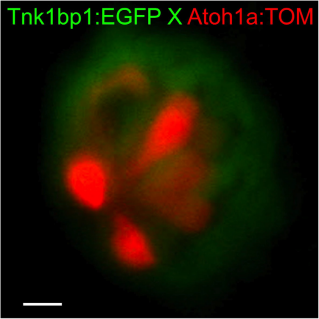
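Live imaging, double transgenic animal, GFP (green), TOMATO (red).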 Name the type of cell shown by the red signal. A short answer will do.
Hair cells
